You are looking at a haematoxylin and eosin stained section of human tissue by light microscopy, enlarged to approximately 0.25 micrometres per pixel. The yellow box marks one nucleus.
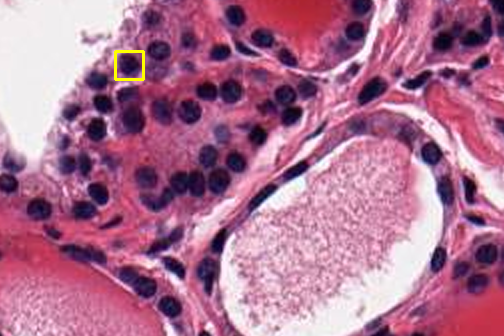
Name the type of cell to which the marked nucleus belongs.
thyroid follicular cell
